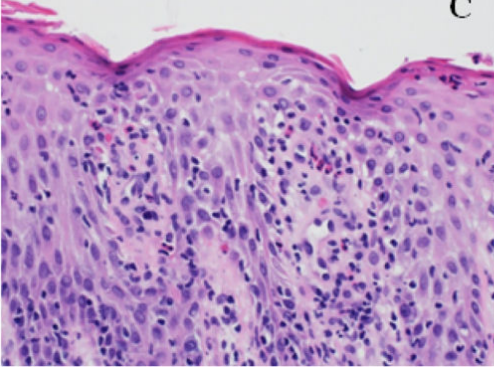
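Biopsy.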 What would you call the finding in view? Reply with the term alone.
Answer: epidermotropism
